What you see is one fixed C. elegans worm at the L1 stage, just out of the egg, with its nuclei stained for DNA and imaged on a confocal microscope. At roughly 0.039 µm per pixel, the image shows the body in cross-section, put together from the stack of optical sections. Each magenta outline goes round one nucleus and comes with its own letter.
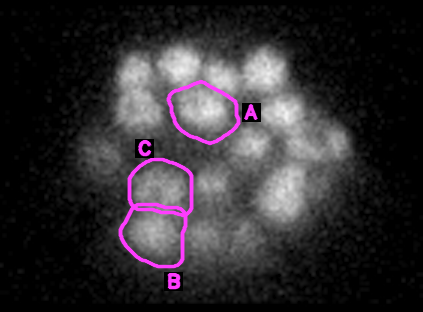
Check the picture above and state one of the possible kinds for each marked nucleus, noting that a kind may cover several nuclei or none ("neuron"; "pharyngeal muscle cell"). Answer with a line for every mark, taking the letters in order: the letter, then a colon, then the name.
A: pharyngeal muscle cell
B: neuron
C: pharyngeal muscle cell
